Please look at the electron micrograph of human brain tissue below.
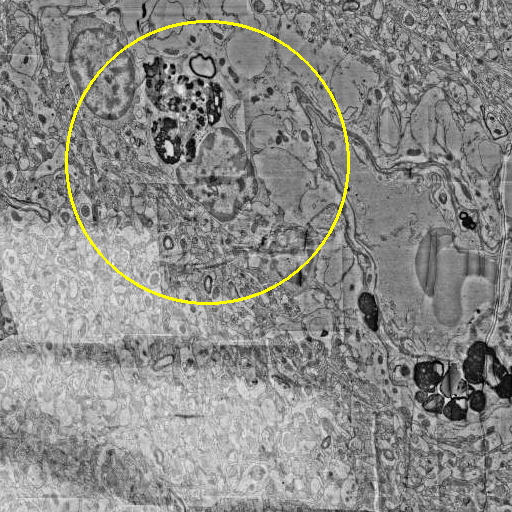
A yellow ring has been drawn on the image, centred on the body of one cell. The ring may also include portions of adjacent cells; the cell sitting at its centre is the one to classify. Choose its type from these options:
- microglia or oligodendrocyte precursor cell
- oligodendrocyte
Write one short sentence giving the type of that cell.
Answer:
The cell in the middle of the ring is a microglial cell or oligodendrocyte precursor cell.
